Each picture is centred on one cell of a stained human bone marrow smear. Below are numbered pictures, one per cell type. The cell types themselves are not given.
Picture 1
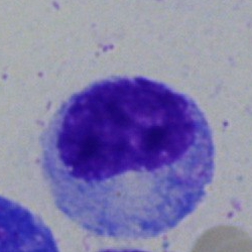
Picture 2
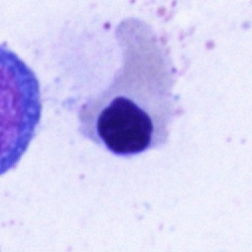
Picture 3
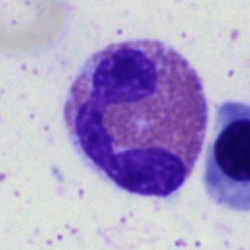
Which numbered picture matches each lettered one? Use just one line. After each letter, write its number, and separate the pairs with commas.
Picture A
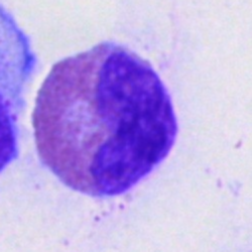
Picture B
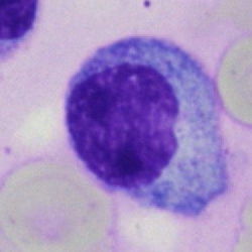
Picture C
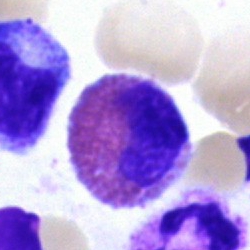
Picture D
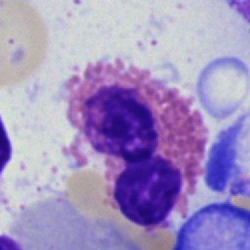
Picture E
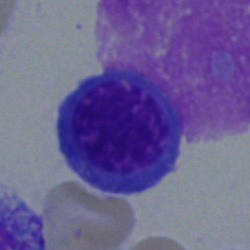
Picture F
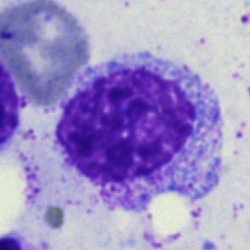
A 3, B 1, C 3, D 3, E 2, F 1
